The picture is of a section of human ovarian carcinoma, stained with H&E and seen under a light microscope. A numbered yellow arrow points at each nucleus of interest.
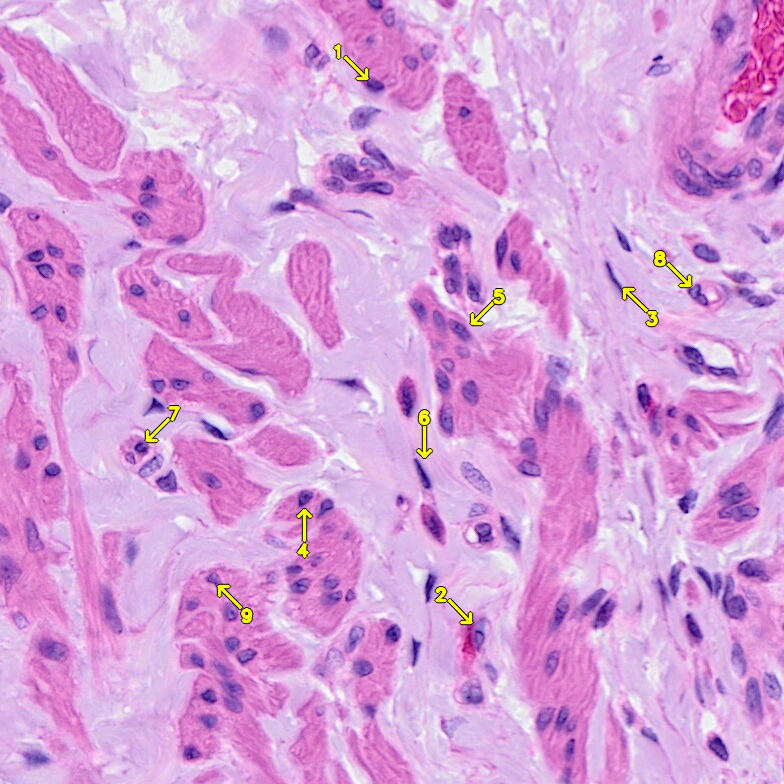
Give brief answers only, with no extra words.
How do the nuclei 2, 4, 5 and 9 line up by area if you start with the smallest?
9, 4, 5, 2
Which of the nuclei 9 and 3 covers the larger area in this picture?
3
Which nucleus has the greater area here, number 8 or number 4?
8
